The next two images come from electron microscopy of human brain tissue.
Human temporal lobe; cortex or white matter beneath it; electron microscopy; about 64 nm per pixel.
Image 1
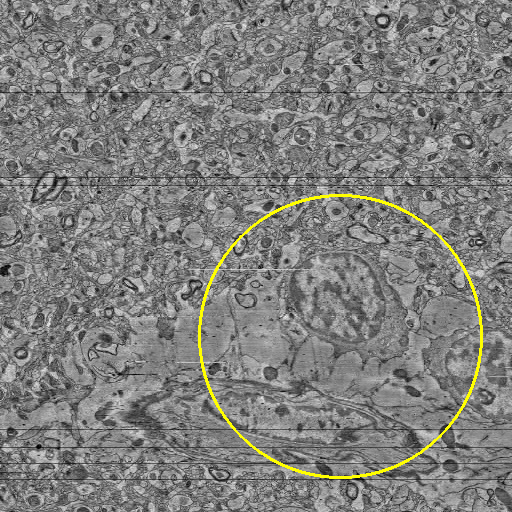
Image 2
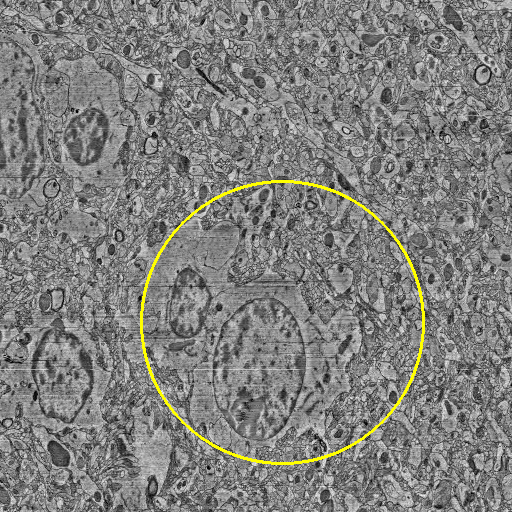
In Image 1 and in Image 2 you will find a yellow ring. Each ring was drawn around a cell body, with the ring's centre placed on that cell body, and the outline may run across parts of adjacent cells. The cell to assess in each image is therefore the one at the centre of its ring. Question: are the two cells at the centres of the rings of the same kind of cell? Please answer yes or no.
no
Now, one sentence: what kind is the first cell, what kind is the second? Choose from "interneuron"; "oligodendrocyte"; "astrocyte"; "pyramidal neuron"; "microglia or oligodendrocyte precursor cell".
The first picture has an oligodendrocyte at its ring centre, and the second has an astrocyte.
